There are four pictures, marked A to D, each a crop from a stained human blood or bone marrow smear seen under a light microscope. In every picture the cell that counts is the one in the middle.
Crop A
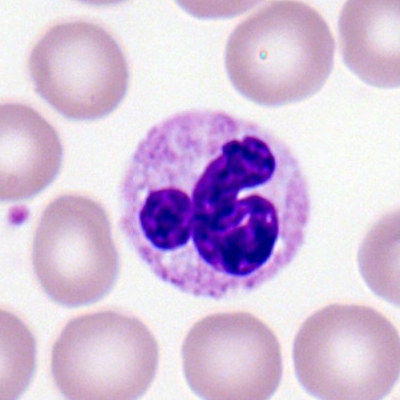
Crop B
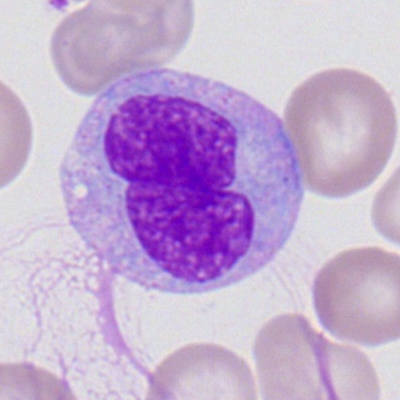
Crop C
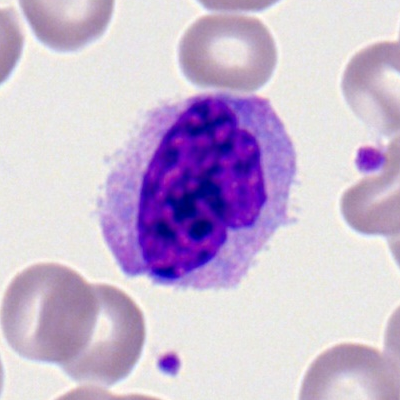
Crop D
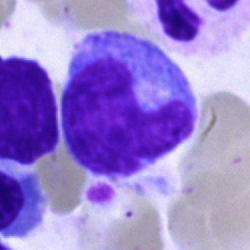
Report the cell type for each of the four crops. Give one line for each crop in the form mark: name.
A: segmented neutrophil
B: monocyte
C: monocyte
D: monocyte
